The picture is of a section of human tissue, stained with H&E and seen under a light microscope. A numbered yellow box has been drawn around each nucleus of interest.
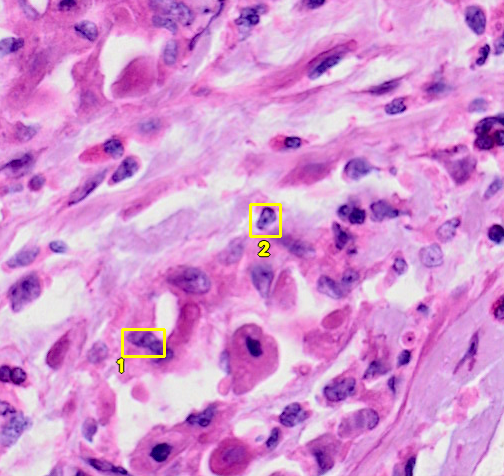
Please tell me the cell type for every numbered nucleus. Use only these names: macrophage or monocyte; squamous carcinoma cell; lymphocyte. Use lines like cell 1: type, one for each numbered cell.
cell 1: macrophage or monocyte
cell 2: lymphocyte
